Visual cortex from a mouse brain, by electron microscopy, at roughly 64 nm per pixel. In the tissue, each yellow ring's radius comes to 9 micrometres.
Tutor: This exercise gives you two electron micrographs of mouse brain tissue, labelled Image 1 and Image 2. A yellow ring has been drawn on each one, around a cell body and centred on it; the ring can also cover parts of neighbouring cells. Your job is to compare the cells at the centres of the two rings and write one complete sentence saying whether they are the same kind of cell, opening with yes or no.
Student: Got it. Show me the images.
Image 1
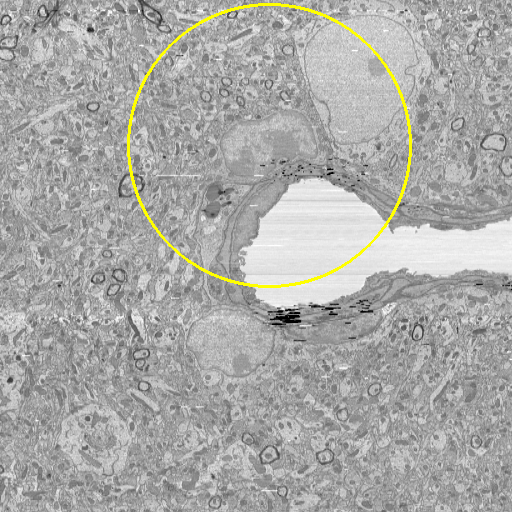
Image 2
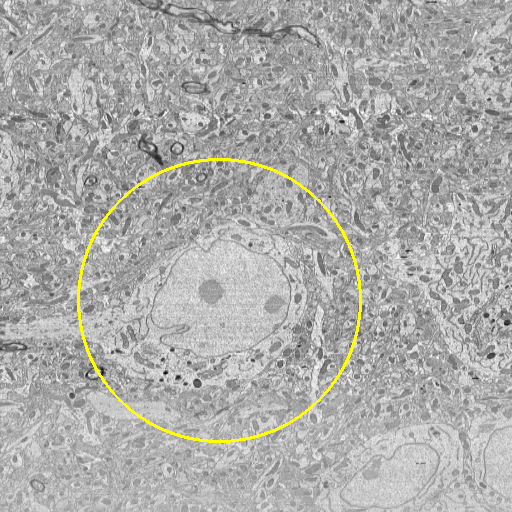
No, the two cells belong to two kinds.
